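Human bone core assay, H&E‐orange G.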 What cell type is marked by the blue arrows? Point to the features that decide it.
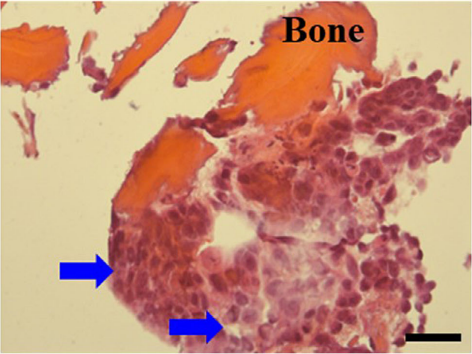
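Densely packed cells with round purple nuclei form a mass. The mass lies directly against the orange-stained bone.
Conclusion: tumor cells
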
